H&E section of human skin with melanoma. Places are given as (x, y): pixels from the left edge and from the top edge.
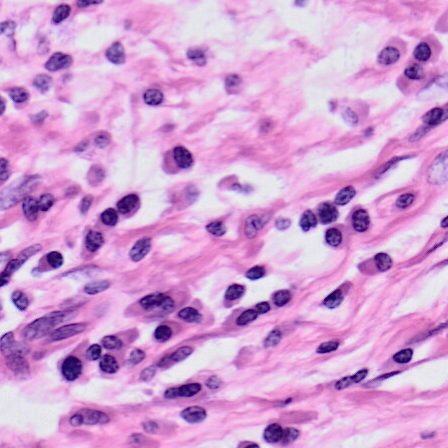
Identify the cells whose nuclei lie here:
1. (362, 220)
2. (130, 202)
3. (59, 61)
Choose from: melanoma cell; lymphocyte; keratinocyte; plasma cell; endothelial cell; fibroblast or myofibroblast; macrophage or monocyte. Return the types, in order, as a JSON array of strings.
["plasma cell", "plasma cell", "lymphocyte"]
